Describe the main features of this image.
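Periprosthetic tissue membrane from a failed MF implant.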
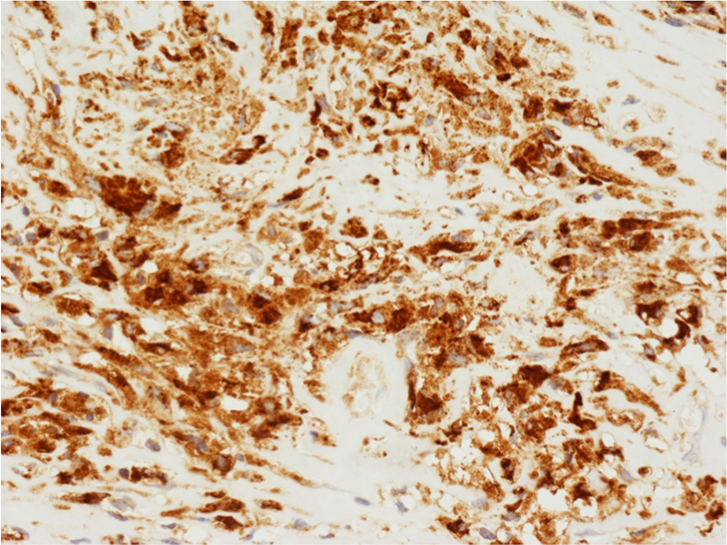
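The cells are large and irregular, some plump and some drawn out into elongated shapes. Their cytoplasm is abundant and coarsely granular brown, often dark enough to obscure the nucleus. Between them lies a pale, loose fibrous stroma with scattered small blue nuclei of unstained cells.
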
